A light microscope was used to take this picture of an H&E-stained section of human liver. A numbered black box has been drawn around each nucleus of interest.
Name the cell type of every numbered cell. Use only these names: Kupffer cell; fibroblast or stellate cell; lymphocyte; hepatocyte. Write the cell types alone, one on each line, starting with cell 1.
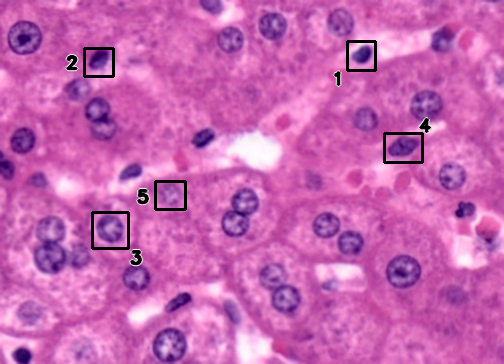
lymphocyte
fibroblast or stellate cell
hepatocyte
Kupffer cell
hepatocyte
